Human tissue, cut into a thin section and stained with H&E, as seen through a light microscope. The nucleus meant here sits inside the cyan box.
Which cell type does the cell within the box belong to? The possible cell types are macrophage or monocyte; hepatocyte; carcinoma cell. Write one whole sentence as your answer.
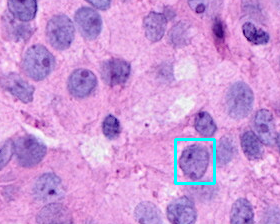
In terms of identity, the cell within the box is a carcinoma cell.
